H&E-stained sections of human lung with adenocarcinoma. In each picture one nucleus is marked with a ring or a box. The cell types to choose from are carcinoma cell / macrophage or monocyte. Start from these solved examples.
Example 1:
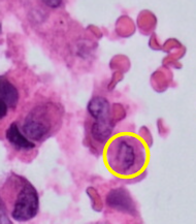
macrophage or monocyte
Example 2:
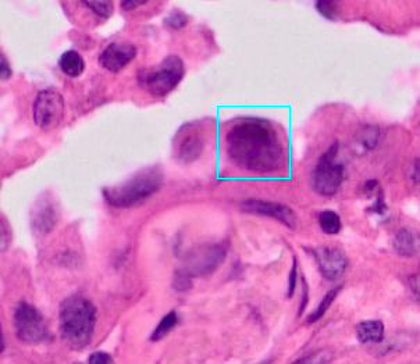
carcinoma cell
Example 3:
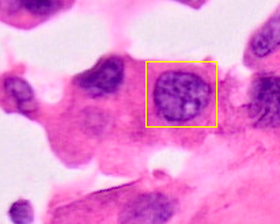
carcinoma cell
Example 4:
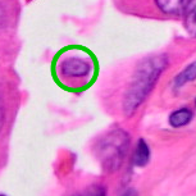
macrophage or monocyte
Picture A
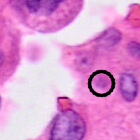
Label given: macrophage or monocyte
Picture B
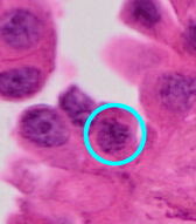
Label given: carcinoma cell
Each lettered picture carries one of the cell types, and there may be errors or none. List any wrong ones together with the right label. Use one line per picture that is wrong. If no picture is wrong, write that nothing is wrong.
No label is wrong.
